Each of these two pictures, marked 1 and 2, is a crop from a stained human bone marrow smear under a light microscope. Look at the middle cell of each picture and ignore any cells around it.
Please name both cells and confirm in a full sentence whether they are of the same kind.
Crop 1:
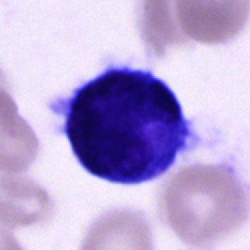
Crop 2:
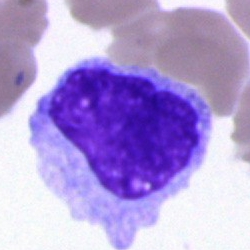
No, crop 1 gives us a blast and crop 2 gives us a monocyte.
